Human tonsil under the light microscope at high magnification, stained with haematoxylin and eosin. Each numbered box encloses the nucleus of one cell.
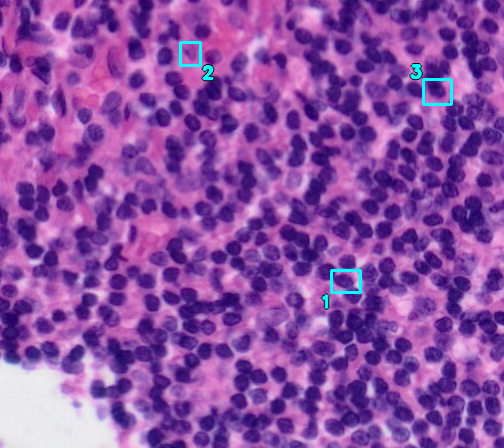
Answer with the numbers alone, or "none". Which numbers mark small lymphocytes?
1, 3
